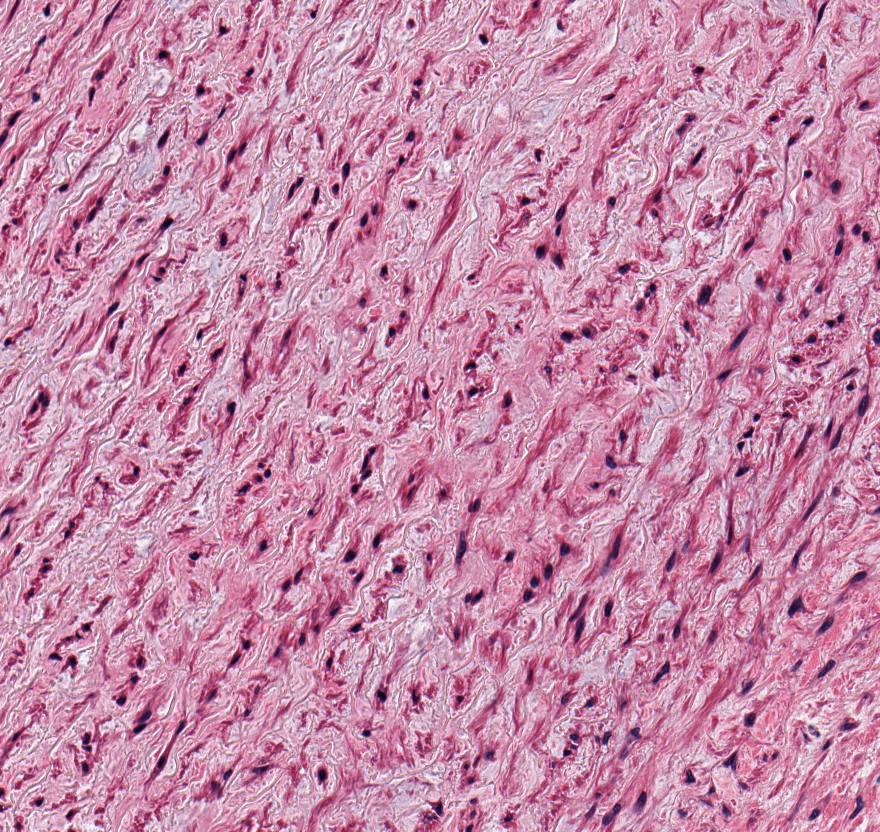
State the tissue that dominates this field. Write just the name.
tunica media of an artery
